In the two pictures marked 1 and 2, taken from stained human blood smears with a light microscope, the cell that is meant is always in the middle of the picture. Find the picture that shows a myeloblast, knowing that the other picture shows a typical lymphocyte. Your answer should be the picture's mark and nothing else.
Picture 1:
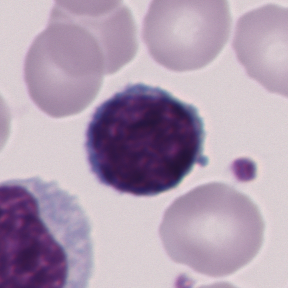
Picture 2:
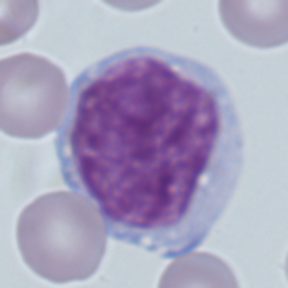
2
